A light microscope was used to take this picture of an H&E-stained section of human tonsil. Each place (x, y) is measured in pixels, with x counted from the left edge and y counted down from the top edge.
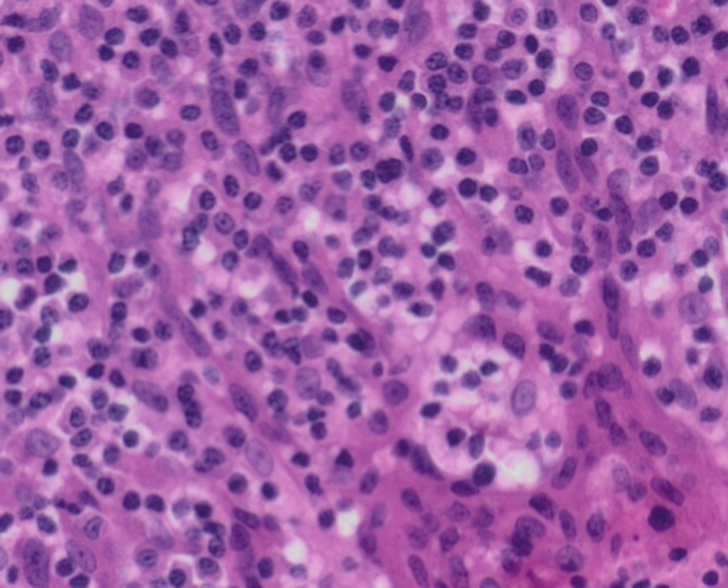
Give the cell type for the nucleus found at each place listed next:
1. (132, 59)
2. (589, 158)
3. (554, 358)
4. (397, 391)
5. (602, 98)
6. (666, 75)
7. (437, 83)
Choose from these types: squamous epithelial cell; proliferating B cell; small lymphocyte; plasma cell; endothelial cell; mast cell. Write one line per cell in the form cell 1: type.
cell 1: plasma cell
cell 2: squamous epithelial cell
cell 3: squamous epithelial cell
cell 4: squamous epithelial cell
cell 5: plasma cell
cell 6: plasma cell
cell 7: plasma cell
